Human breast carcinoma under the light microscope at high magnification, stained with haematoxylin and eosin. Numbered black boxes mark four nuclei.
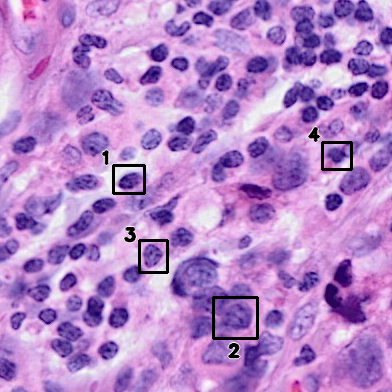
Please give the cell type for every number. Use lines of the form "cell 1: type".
cell 1: lymphocyte
cell 2: carcinoma cell
cell 3: lymphocyte
cell 4: lymphocyte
